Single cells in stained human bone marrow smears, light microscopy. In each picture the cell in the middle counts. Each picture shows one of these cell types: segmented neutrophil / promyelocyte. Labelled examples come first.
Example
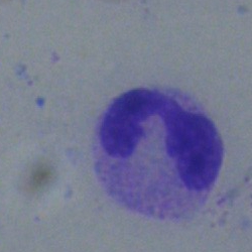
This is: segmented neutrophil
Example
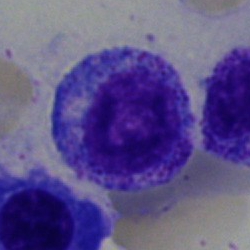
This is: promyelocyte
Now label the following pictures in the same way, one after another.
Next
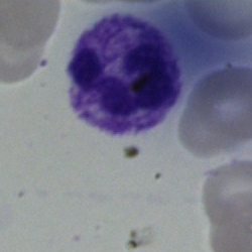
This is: segmented neutrophil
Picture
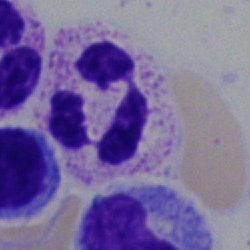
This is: segmented neutrophil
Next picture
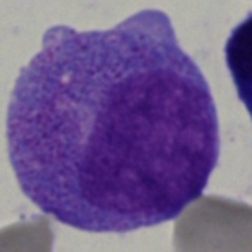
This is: promyelocyte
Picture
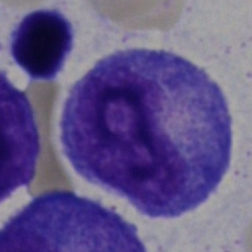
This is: promyelocyte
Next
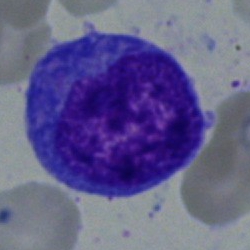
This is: promyelocyte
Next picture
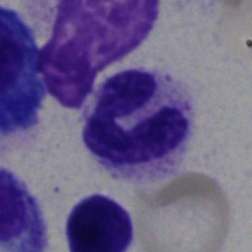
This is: segmented neutrophil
